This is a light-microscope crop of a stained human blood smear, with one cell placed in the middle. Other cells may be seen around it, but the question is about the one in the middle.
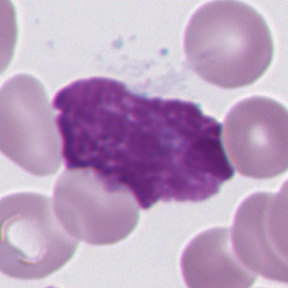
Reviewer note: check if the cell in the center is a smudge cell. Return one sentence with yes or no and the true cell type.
Yes, the cell in the middle is a smudge cell.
